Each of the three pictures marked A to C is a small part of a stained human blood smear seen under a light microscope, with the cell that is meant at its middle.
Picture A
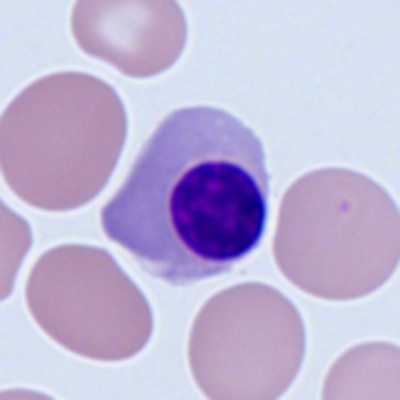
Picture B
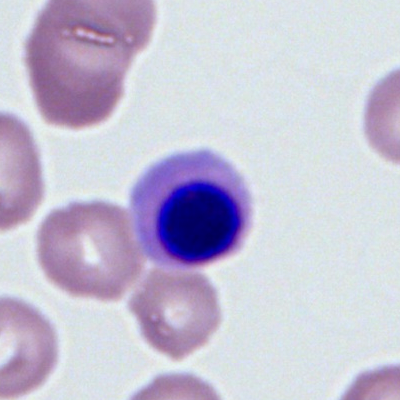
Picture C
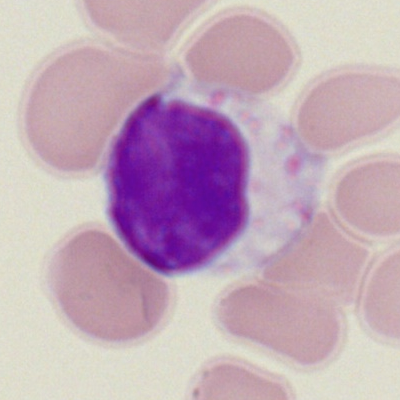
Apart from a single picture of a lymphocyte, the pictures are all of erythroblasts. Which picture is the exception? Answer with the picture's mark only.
C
